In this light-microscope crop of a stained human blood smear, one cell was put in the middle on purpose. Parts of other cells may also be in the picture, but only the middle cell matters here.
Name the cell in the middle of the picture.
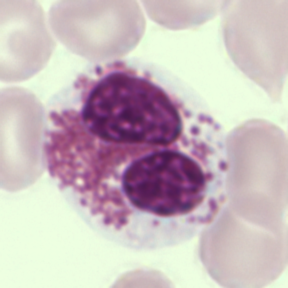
eosinophil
